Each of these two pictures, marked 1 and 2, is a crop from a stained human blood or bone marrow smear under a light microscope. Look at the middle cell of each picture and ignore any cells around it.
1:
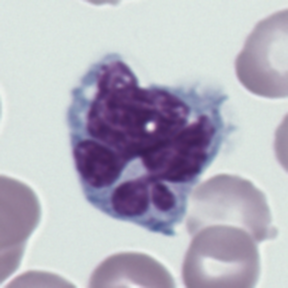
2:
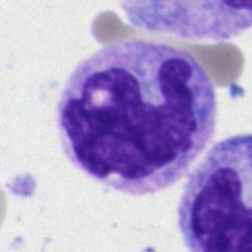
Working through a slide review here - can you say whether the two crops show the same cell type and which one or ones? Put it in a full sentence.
Yes, both crops, not just one, show monocytes.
